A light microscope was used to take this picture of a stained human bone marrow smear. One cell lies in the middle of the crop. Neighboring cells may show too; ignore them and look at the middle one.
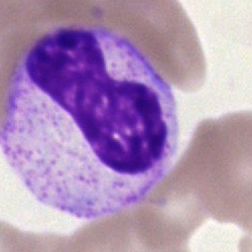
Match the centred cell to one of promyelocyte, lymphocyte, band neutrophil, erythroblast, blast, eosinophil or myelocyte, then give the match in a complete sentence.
Of the cells in this crop, the central one is a band neutrophil.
